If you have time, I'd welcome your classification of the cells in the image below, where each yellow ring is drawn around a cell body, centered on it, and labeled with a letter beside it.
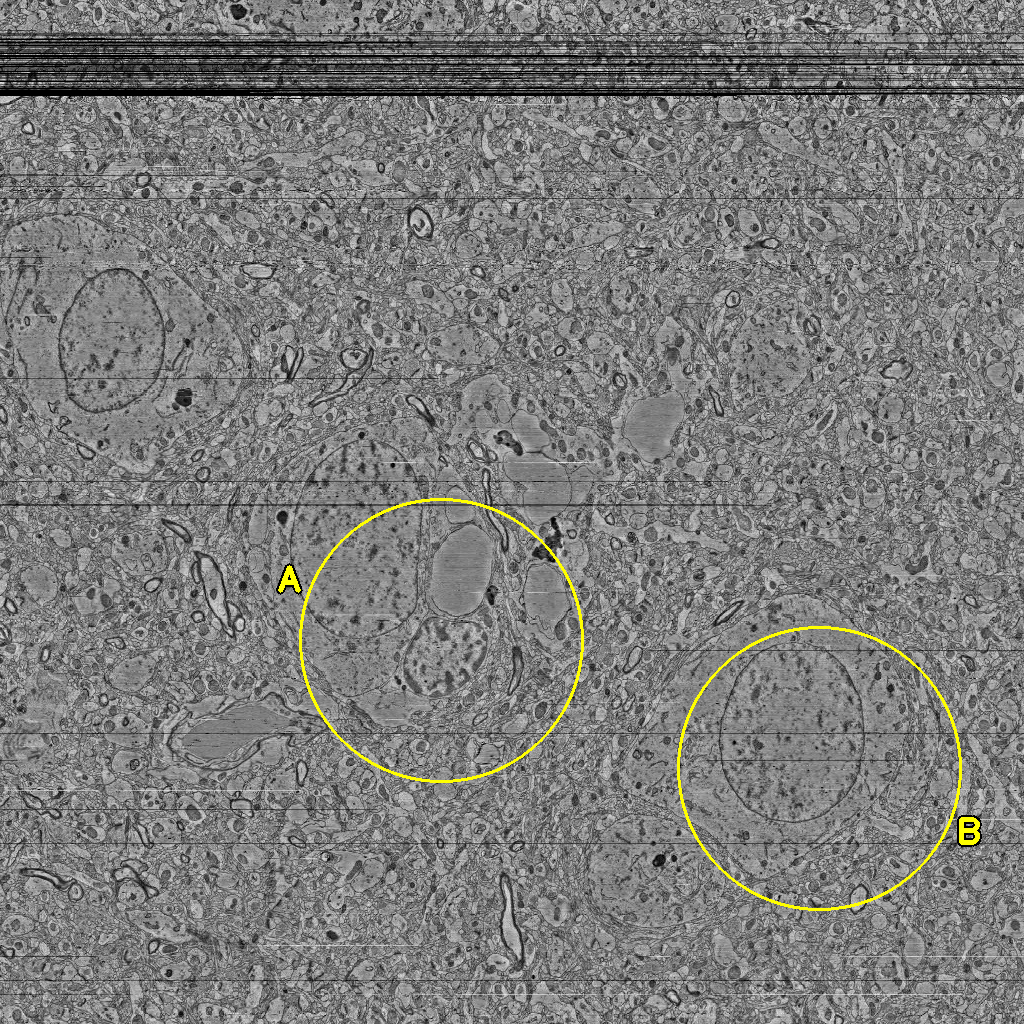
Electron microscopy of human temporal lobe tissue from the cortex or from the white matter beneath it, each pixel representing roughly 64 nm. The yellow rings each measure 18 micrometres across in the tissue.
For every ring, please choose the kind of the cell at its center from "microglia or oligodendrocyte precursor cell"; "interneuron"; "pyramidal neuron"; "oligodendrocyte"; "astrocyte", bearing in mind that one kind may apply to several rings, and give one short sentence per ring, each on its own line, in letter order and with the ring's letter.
At the center of ring A is a microglial cell or oligodendrocyte precursor cell.
At the center of ring B is a pyramidal neuron.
